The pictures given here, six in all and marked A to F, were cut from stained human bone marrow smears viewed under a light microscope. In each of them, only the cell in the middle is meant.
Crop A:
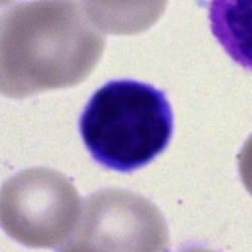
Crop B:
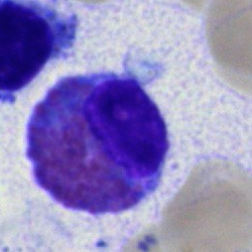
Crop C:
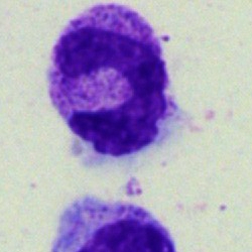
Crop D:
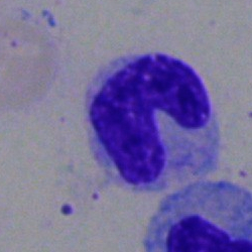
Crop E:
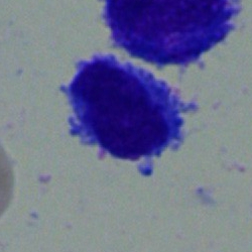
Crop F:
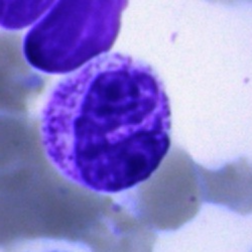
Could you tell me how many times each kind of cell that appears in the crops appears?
band neutrophil: 3
lymphocyte: 2
eosinophil: 1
